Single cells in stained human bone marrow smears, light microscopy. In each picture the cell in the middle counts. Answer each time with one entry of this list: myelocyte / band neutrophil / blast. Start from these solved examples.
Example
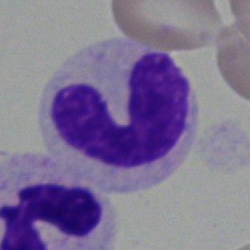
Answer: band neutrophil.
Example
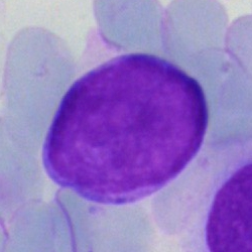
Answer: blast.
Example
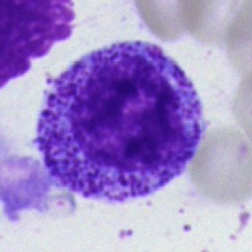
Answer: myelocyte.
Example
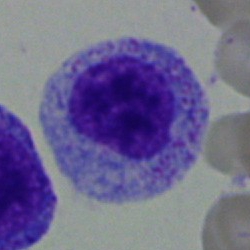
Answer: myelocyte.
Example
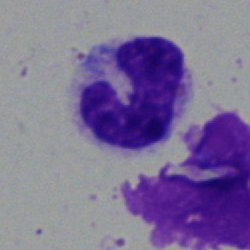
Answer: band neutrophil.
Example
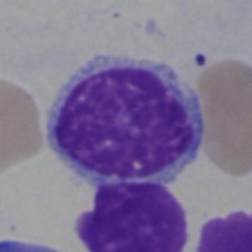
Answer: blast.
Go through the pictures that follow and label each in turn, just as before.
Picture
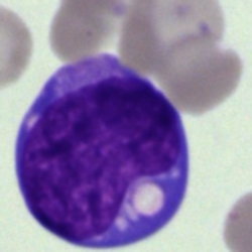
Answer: blast.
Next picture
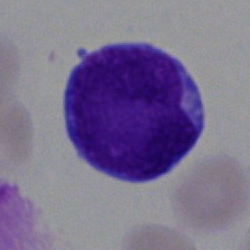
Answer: blast.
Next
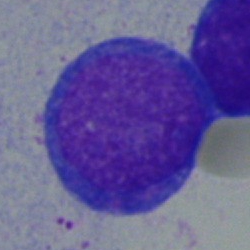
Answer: blast.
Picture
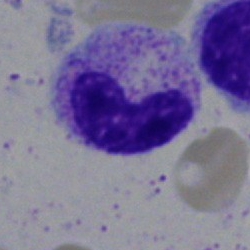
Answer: band neutrophil.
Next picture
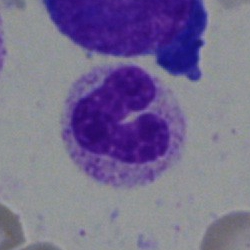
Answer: band neutrophil.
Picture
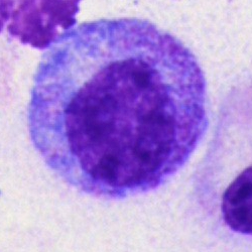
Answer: myelocyte.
